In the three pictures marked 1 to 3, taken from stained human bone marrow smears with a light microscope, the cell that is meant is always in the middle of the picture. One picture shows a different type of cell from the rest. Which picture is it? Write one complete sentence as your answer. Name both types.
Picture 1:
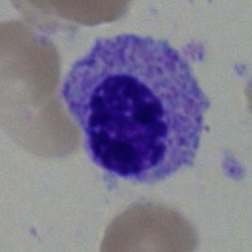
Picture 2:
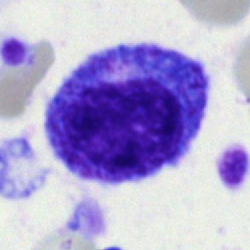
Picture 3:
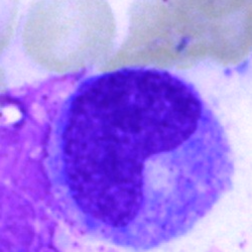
Picture 3 is the odd one out: it shows a metamyelocyte, while the others show myelocytes.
